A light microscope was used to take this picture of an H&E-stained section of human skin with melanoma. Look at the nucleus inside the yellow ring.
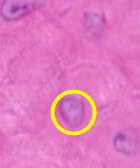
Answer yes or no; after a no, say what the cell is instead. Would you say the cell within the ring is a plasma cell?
No, it is a keratinocyte.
